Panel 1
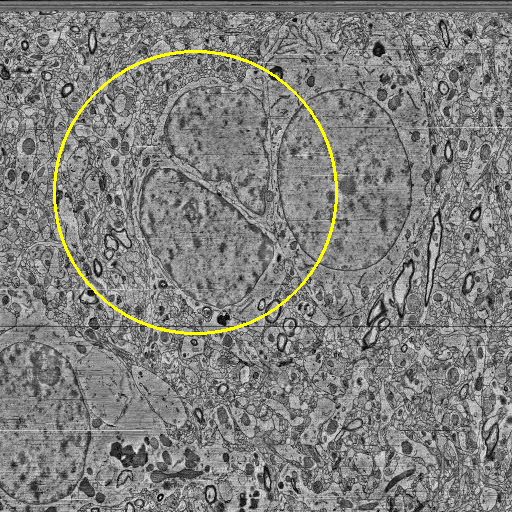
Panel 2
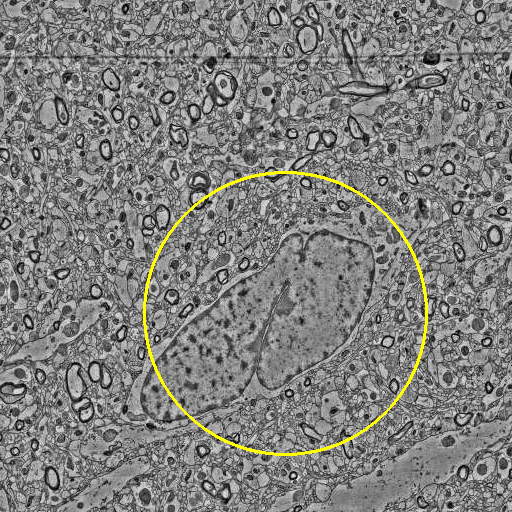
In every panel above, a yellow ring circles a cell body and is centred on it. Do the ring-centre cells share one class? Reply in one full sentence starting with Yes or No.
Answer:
Yes, the two cells at the ring centres in the panels belong to one class.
